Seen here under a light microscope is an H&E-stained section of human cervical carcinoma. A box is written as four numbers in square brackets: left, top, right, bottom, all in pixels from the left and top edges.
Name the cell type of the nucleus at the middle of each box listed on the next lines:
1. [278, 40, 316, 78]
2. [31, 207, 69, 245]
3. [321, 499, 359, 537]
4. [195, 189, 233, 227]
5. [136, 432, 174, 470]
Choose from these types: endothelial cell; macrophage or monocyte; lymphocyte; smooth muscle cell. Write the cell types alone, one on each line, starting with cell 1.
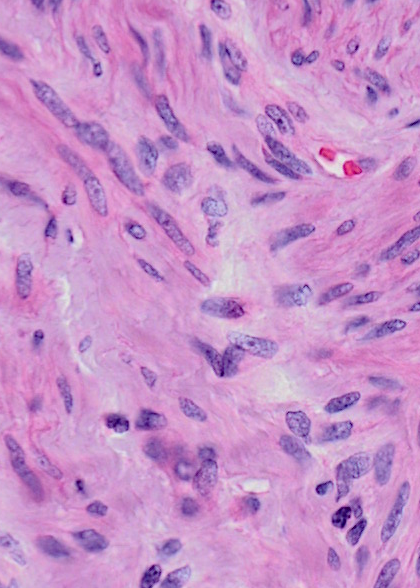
smooth muscle cell
smooth muscle cell
lymphocyte
smooth muscle cell
endothelial cell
